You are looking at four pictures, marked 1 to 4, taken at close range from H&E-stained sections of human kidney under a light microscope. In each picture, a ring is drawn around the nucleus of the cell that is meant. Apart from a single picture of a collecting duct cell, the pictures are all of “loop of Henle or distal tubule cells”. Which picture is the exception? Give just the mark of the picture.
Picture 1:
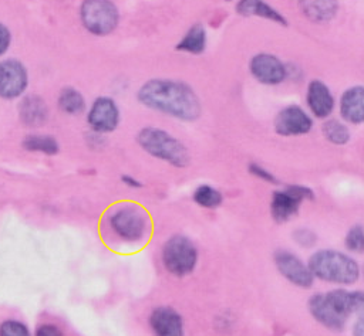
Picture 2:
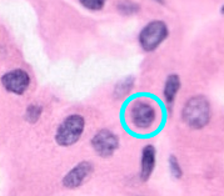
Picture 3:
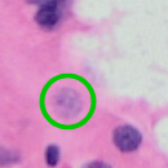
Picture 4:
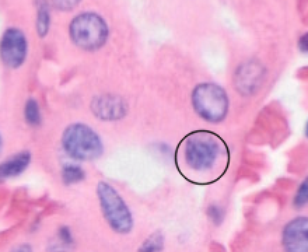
4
